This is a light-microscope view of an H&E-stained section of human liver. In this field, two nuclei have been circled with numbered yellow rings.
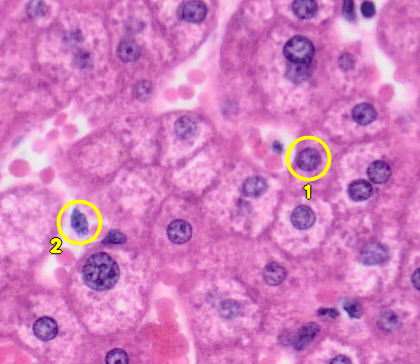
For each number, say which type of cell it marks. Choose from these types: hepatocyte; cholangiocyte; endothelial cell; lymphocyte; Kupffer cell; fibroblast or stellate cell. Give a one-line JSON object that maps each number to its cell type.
{"1": "hepatocyte", "2": "lymphocyte"}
